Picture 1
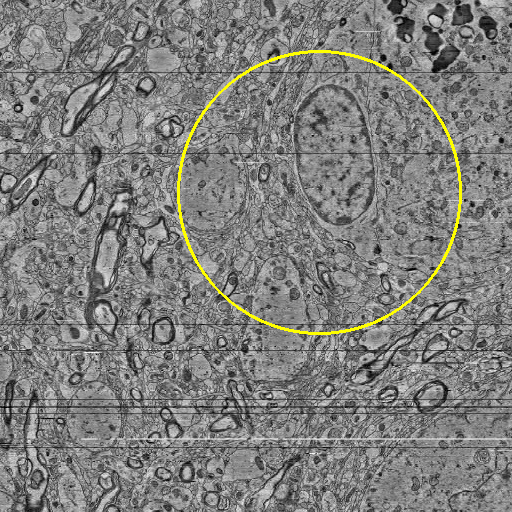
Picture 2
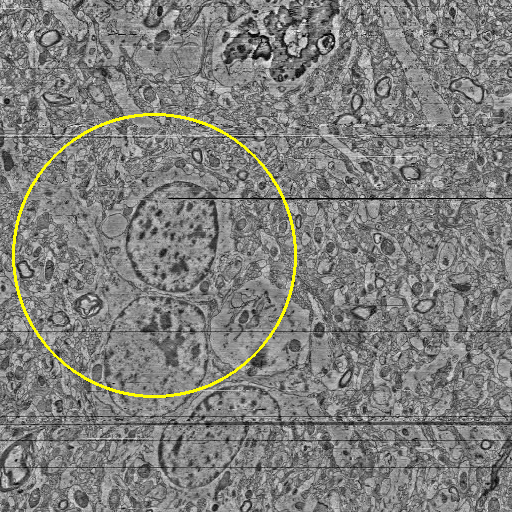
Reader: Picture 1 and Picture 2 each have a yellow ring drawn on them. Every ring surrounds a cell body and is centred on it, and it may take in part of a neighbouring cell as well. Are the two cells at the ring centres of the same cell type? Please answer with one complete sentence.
No, the cells are of two cell types.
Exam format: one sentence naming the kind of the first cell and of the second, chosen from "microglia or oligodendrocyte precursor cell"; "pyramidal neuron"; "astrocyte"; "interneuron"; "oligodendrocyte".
The first picture's cell is a microglial cell or oligodendrocyte precursor cell, and the second picture's cell is an astrocyte.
